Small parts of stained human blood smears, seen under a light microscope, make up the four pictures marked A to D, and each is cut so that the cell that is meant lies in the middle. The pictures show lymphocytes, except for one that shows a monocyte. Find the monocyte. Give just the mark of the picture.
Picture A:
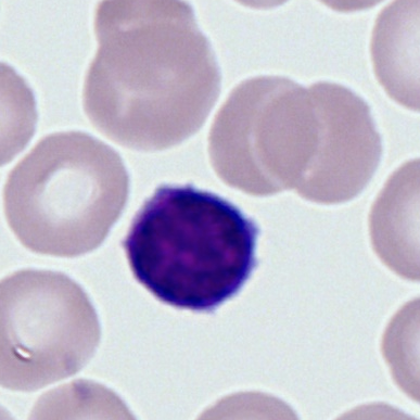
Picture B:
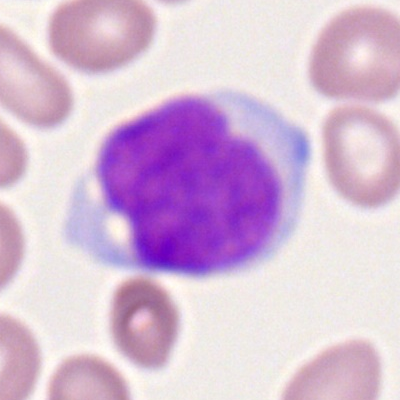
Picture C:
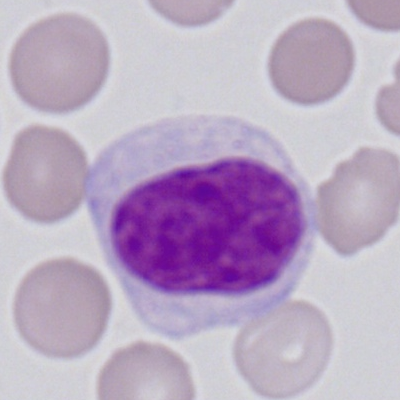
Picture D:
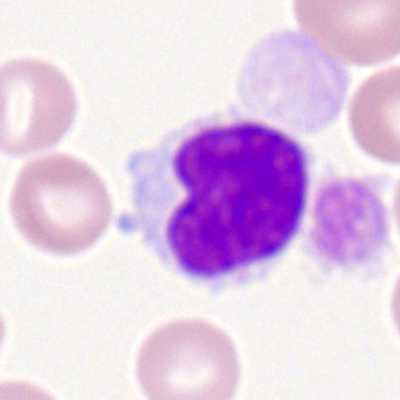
B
